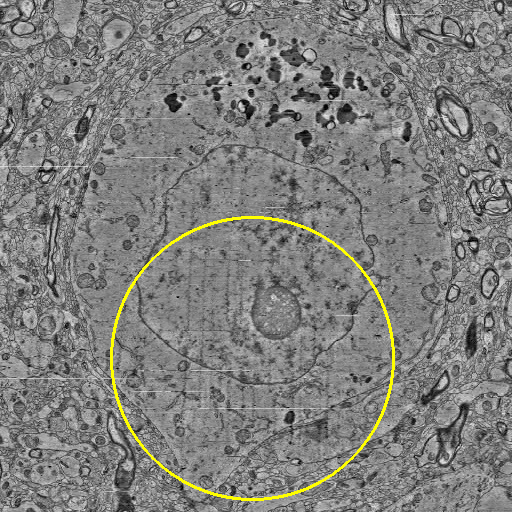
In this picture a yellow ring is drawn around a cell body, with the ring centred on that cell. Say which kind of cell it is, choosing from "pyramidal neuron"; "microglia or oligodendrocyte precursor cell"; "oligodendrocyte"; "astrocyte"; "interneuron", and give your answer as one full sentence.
Here it is a pyramidal neuron that sits at the centre of the drawn yellow ring.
